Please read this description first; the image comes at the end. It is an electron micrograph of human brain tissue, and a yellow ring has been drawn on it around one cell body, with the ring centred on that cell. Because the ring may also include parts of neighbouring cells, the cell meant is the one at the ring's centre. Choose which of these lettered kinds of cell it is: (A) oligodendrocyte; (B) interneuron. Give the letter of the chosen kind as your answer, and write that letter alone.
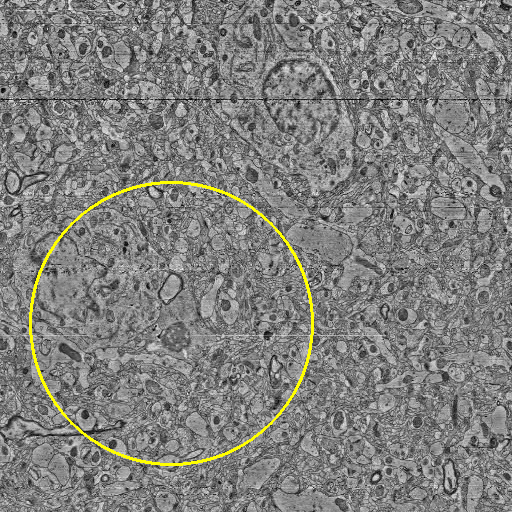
A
